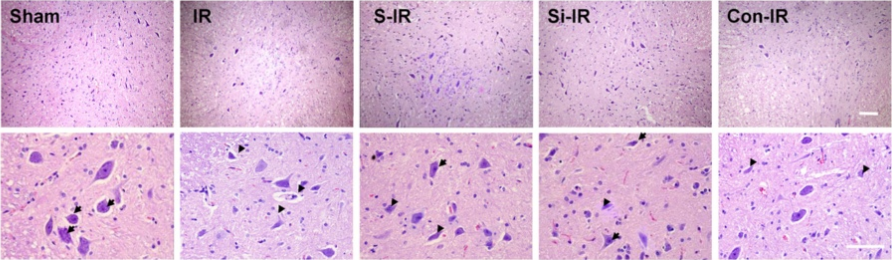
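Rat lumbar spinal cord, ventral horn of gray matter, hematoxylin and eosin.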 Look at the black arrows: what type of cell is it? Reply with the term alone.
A: Normal neurons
